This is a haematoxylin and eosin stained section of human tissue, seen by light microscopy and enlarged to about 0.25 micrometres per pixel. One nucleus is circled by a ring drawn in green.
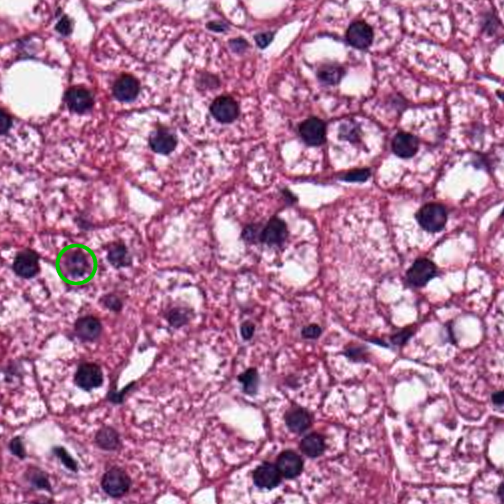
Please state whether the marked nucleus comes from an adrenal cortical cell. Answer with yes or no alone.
yes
